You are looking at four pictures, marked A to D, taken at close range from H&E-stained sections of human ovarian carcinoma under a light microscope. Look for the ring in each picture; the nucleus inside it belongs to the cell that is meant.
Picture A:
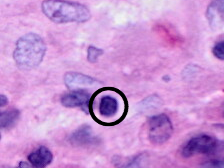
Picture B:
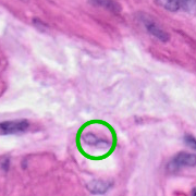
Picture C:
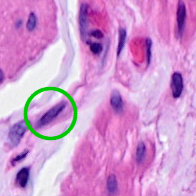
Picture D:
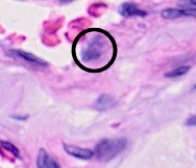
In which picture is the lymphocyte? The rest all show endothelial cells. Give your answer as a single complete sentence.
The cell in picture A is the lymphocyte.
